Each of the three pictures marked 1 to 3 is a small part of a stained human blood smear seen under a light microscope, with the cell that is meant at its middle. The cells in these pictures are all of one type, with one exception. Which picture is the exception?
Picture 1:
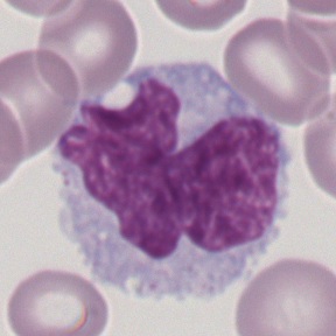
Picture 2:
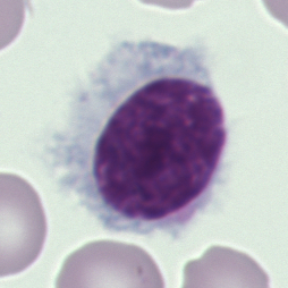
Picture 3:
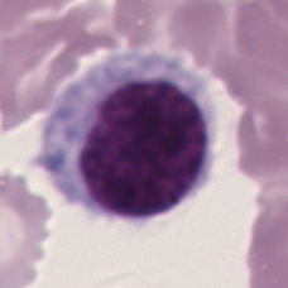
1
